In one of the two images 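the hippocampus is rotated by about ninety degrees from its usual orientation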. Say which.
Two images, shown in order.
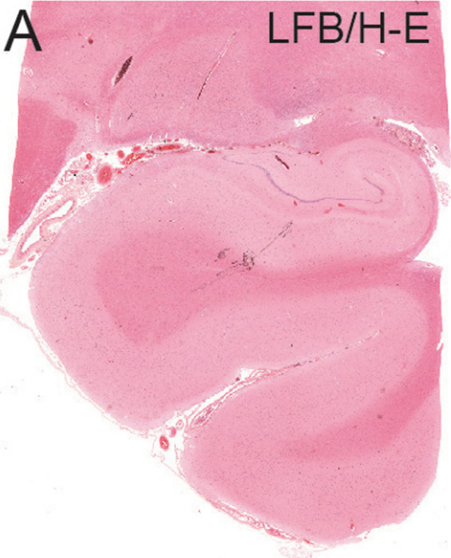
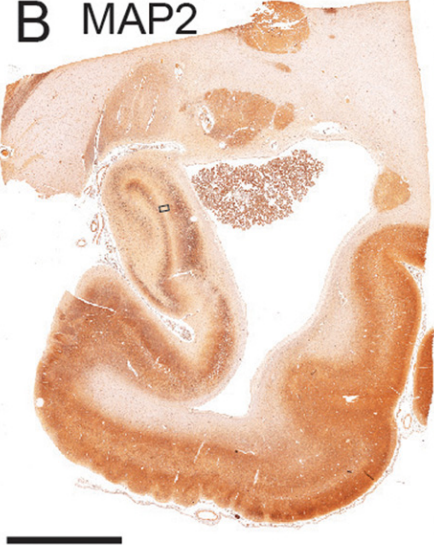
The second image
